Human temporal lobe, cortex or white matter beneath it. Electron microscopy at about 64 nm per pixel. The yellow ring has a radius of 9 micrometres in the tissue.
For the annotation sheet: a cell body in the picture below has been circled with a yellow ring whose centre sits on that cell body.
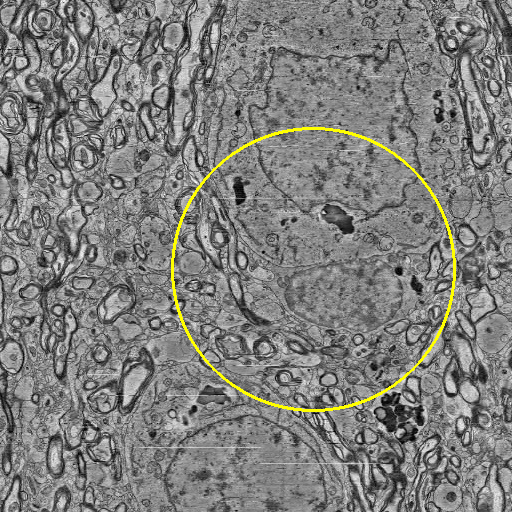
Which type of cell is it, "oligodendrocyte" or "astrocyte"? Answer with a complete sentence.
The circled cell is an oligodendrocyte.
